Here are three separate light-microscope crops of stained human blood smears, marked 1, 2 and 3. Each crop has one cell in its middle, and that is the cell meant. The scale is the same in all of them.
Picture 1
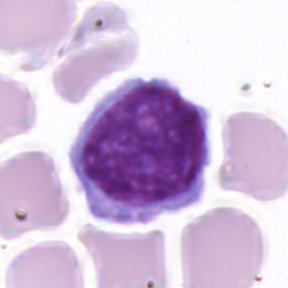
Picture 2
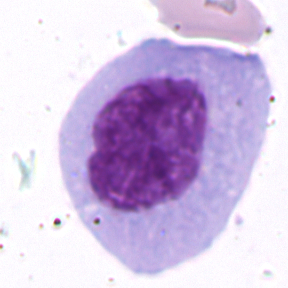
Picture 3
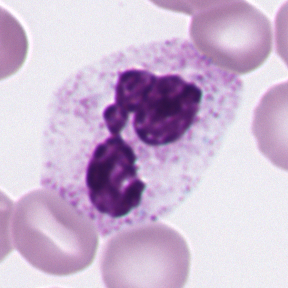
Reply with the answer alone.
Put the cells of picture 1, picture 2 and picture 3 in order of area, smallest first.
1, 3, 2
